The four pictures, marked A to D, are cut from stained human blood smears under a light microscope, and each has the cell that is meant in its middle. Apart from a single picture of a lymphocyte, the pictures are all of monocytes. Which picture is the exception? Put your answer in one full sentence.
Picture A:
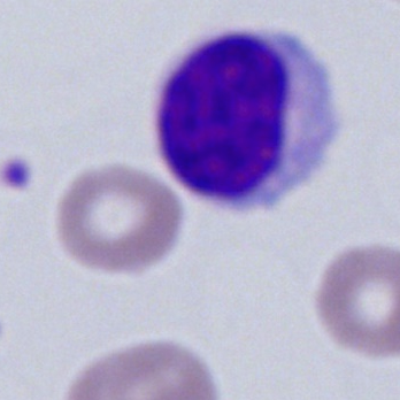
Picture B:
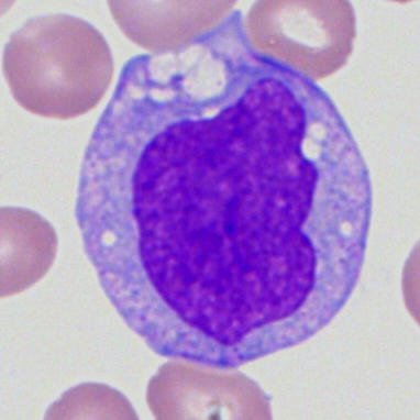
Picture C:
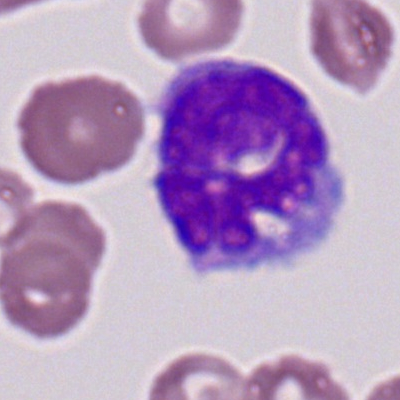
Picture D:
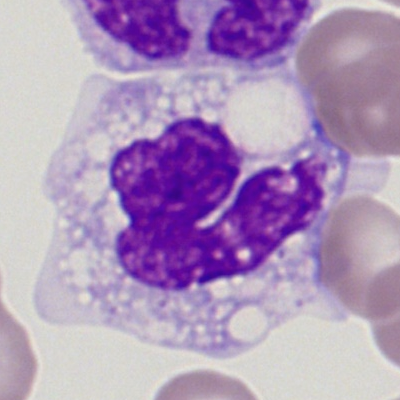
Picture A is the one that shows the lymphocyte.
